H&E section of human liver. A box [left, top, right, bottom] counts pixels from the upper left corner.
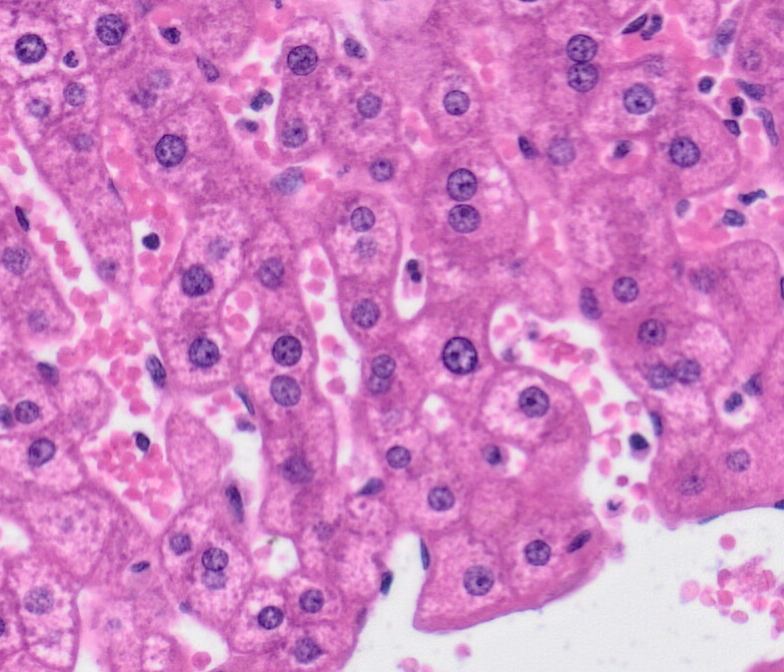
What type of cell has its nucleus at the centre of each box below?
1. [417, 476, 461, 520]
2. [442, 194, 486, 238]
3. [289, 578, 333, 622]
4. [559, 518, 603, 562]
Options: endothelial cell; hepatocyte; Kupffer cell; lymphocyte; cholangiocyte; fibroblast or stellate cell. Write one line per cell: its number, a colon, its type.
1: hepatocyte
2: hepatocyte
3: hepatocyte
4: fibroblast or stellate cell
